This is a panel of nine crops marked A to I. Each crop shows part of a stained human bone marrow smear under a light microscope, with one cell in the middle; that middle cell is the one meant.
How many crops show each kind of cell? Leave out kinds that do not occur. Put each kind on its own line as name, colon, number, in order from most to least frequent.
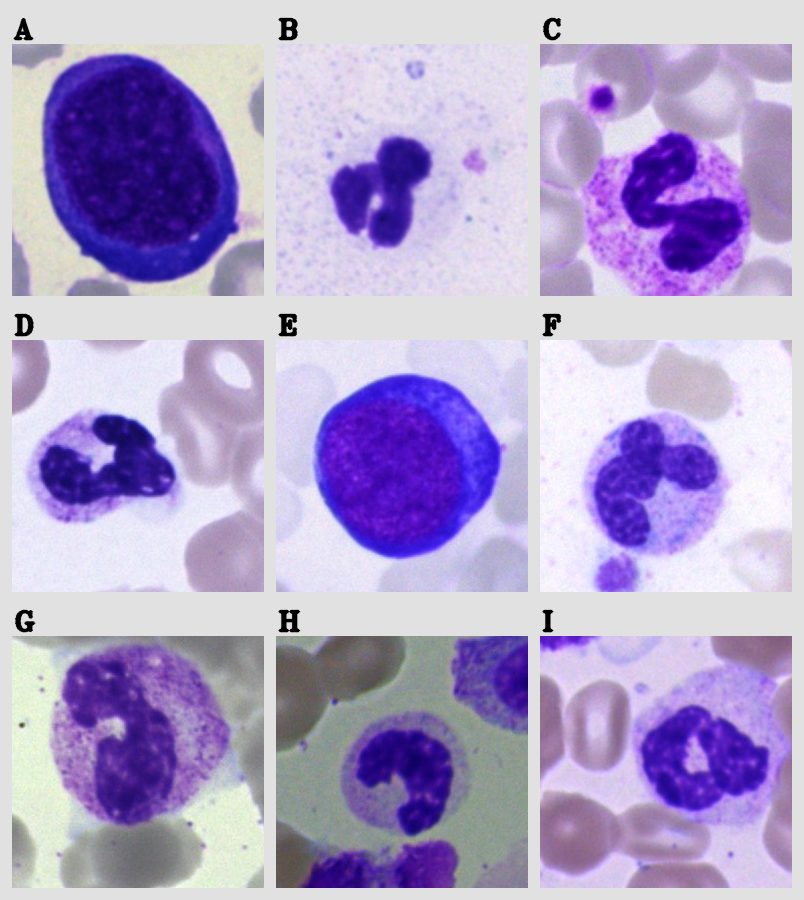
segmented neutrophil: 7
proerythroblast: 2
